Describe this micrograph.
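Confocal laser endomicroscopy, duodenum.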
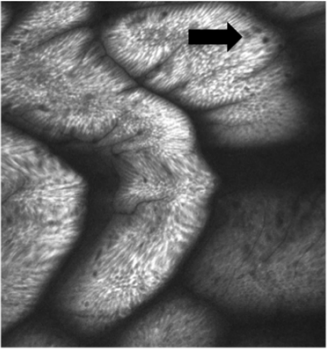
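Villus-like structures of intestinal mucosa in cross and oblique section, each rimmed by a bright layer of tall columnar epithelial cells arranged radially. Round dark goblet cells are scattered among the epithelial cells, and darker spaces separate neighbouring villi.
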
